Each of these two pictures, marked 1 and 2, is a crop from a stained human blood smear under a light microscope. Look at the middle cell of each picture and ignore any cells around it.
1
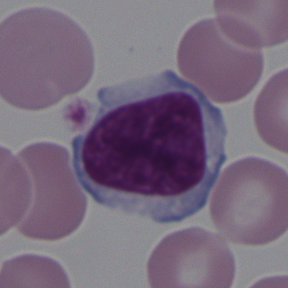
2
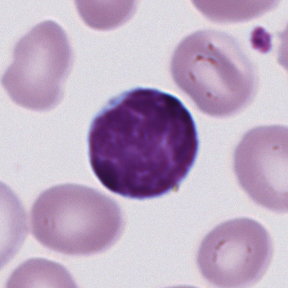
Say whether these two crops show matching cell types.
yes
